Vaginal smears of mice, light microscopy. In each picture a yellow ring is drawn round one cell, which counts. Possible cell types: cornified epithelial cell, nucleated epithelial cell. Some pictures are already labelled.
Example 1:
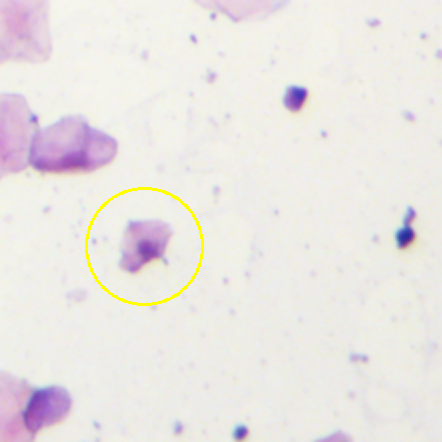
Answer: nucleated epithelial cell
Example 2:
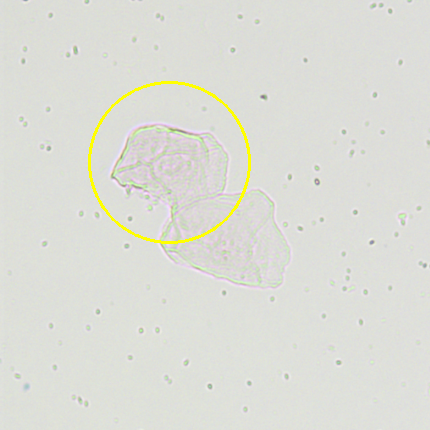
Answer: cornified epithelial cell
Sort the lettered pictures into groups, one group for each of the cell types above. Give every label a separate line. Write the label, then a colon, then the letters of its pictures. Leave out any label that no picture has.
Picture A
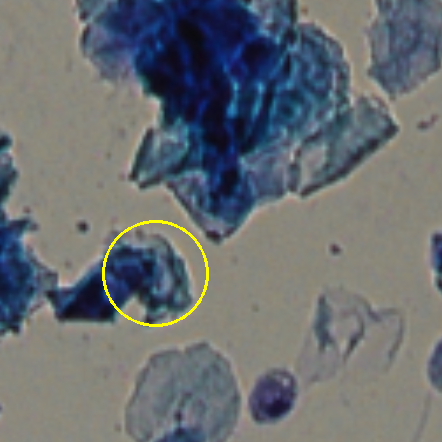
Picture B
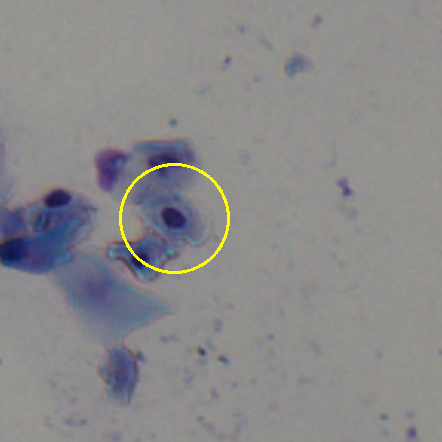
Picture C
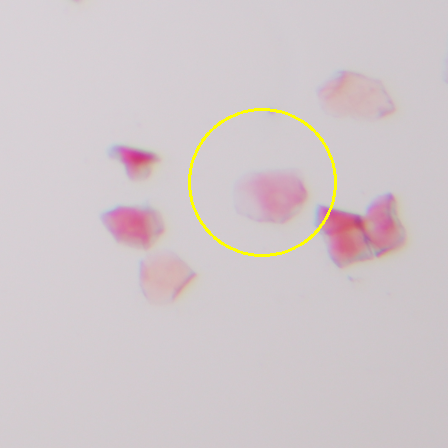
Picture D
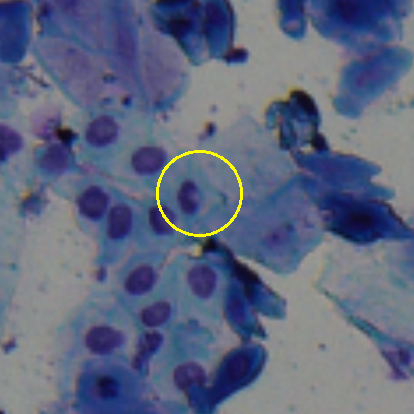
cornified epithelial cell: A, C
nucleated epithelial cell: B, D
